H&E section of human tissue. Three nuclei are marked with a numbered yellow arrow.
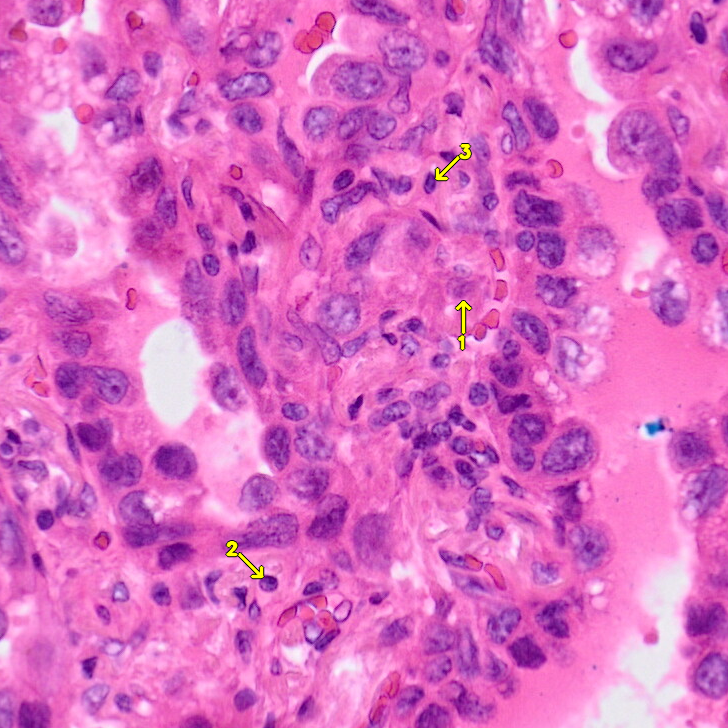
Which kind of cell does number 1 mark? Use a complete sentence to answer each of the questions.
Cell number 1 in this section is a macrophage or monocyte.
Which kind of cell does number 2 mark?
The cell with the number 2 is a lymphocyte.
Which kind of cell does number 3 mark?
The cell identified by the number 3 is a lymphocyte.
